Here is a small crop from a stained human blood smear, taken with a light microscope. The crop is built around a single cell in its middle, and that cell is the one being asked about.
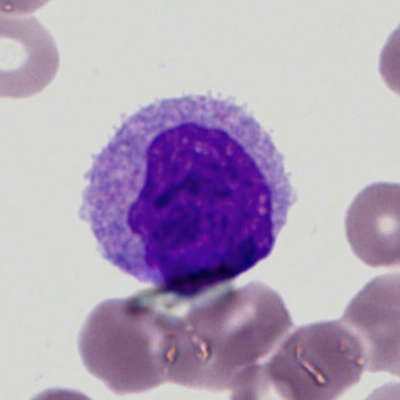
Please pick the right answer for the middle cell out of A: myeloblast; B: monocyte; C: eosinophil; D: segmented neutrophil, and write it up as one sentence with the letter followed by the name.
Option B is to be chosen, as the central cell is a monocyte.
